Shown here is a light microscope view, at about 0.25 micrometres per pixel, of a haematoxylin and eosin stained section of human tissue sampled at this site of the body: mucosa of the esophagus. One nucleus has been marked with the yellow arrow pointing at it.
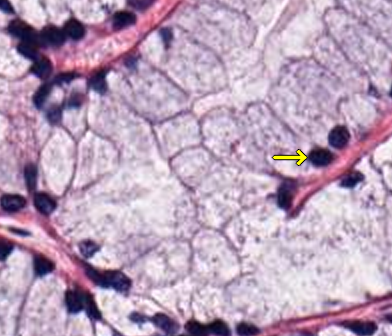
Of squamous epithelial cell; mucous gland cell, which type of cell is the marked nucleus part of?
mucous gland cell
